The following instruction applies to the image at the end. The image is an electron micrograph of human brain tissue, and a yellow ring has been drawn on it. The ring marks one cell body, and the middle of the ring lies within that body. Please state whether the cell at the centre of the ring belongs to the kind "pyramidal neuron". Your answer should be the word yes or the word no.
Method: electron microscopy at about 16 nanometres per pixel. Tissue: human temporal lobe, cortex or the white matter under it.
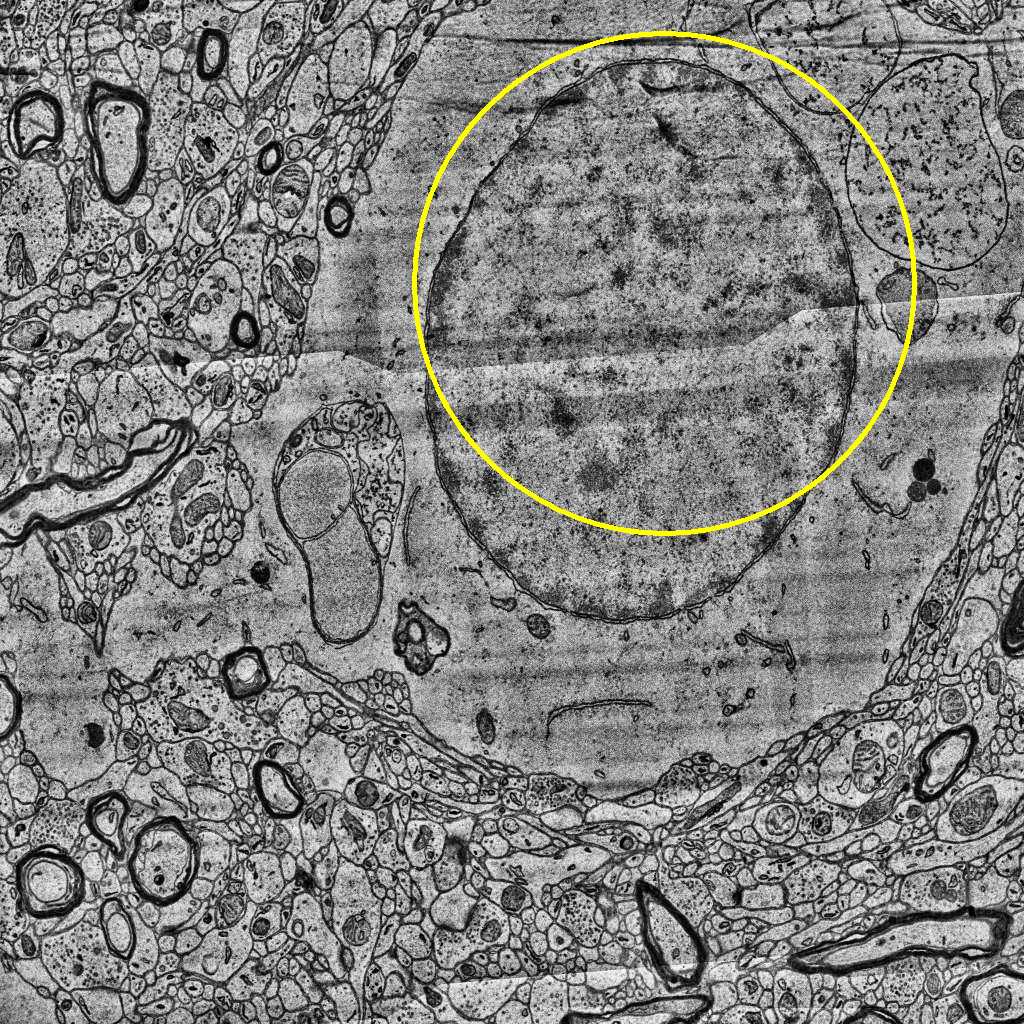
no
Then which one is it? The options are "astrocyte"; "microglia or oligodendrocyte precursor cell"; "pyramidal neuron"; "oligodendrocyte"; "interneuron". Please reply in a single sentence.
The ring's central cell is an astrocyte instead.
